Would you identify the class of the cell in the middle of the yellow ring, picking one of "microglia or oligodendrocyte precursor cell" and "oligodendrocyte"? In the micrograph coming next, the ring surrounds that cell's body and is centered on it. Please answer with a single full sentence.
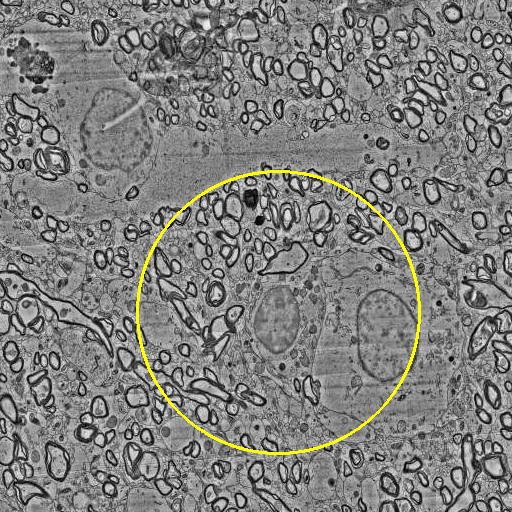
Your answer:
In the micrograph, it is an oligodendrocyte whose body lies at the ring's center.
